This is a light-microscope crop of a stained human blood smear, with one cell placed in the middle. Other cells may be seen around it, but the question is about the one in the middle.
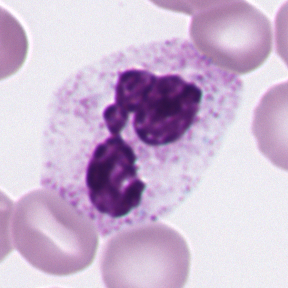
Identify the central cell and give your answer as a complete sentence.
Classified as a segmented neutrophil is the cell in the middle of this crop.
